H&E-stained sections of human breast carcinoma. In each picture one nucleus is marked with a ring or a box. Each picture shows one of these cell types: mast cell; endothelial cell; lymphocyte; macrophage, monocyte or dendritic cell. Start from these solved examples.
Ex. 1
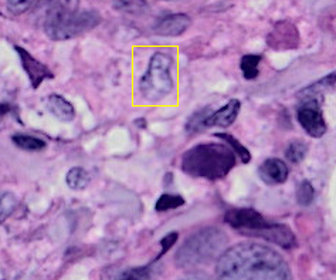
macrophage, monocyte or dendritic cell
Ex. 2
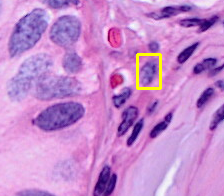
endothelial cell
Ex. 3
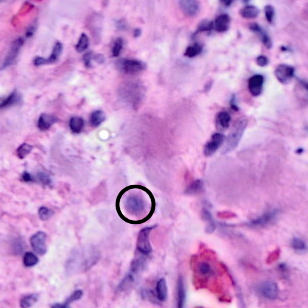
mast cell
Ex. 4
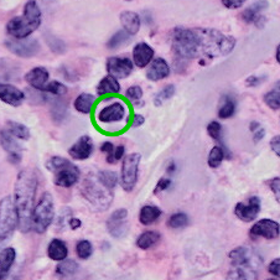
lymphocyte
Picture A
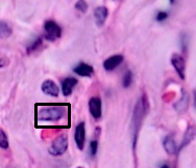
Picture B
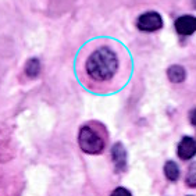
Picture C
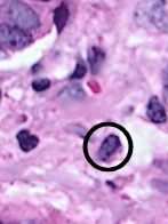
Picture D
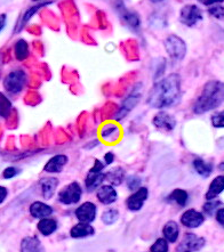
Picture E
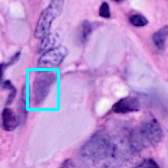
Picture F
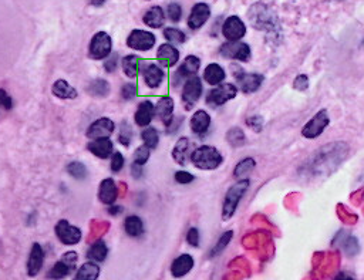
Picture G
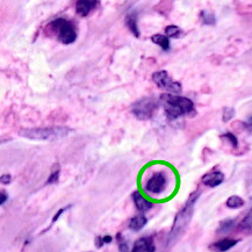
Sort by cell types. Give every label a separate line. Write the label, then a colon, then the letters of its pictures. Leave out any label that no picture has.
mast cell: B, C
endothelial cell: A, D, E
lymphocyte: F, G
